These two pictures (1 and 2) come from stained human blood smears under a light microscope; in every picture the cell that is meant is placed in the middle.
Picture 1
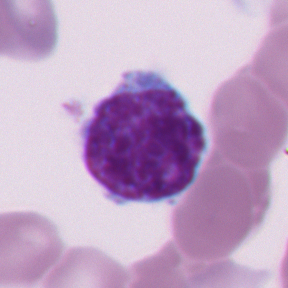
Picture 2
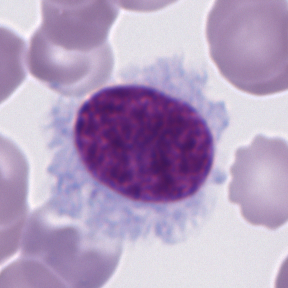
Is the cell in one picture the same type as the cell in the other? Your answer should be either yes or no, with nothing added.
no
